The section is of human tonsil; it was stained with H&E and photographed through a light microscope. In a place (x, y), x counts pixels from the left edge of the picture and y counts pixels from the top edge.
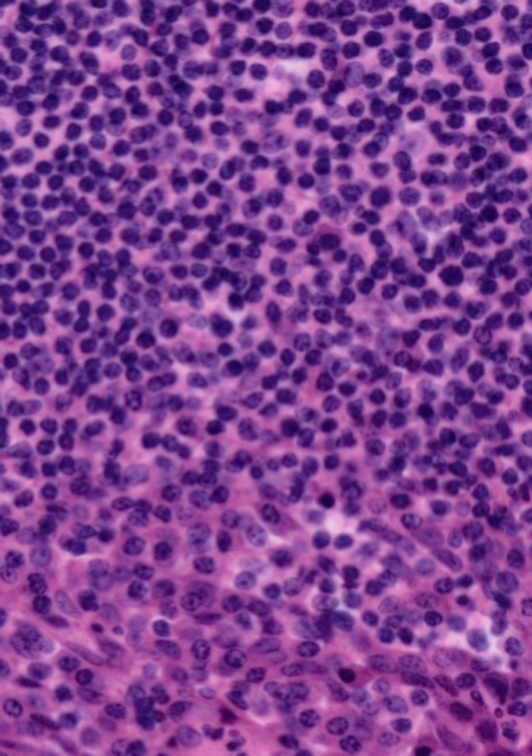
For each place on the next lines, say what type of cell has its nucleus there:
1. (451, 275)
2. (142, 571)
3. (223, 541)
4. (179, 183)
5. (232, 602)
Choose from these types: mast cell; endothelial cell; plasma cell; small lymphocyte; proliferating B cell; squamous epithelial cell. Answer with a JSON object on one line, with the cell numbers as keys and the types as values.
{"1": "proliferating B cell", "2": "plasma cell", "3": "plasma cell", "4": "small lymphocyte", "5": "plasma cell"}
